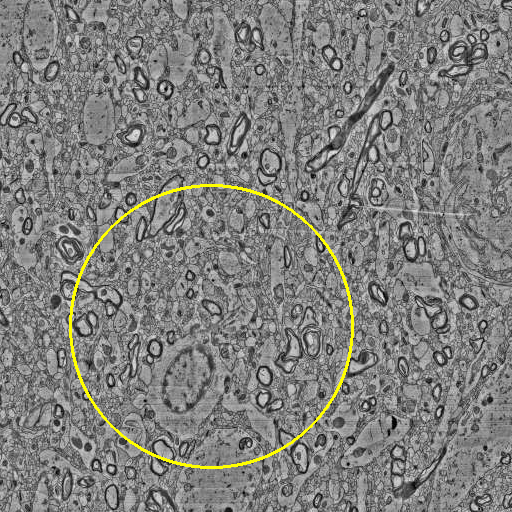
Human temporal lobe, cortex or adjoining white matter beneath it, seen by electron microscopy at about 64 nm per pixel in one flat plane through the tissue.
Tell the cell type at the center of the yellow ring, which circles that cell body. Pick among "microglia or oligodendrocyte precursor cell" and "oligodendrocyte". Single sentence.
The ring is centered on the body of a microglial cell or oligodendrocyte precursor cell.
